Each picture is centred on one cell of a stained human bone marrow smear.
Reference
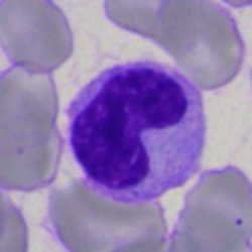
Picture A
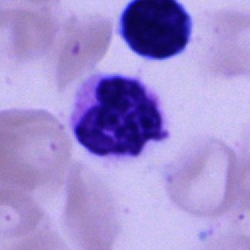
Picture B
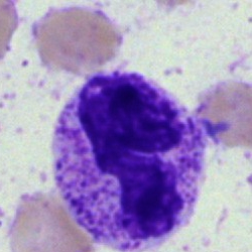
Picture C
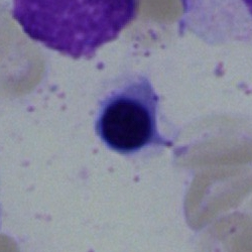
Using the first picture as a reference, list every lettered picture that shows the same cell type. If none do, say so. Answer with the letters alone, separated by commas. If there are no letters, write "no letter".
no letter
